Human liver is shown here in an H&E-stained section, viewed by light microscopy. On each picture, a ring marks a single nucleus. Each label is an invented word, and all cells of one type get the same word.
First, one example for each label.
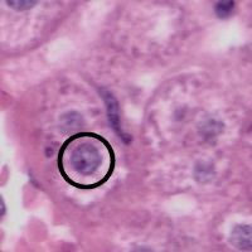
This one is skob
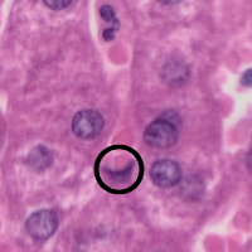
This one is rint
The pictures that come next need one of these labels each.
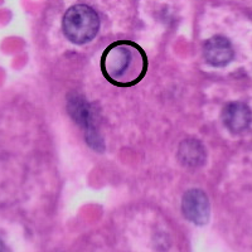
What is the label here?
rint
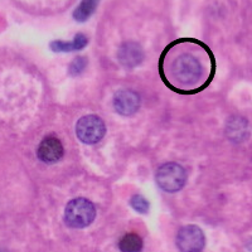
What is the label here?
skob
